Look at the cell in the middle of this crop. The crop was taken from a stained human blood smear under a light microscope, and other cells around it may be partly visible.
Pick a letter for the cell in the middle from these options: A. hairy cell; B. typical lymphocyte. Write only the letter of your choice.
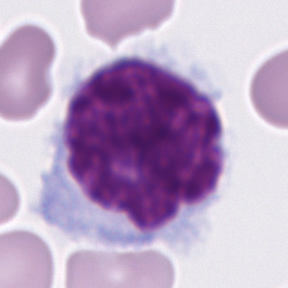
A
